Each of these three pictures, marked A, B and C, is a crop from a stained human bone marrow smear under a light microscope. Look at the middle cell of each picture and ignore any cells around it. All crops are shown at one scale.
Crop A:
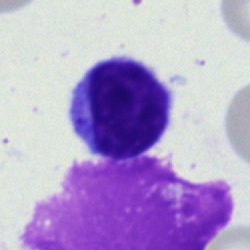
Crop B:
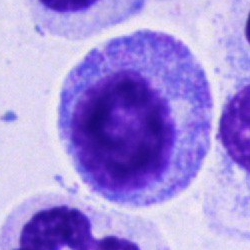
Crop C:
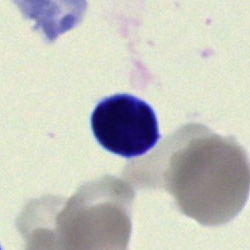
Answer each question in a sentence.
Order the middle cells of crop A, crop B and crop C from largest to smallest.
The order is B, A, C, beginning with the largest.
